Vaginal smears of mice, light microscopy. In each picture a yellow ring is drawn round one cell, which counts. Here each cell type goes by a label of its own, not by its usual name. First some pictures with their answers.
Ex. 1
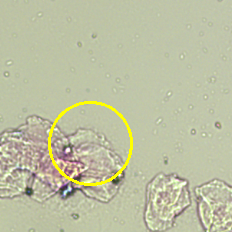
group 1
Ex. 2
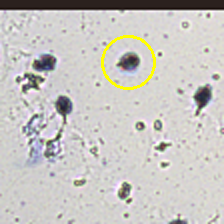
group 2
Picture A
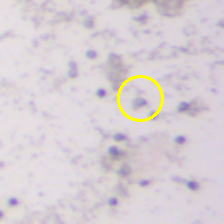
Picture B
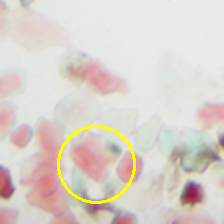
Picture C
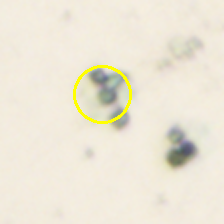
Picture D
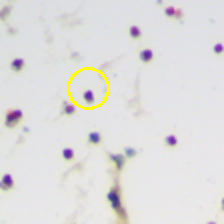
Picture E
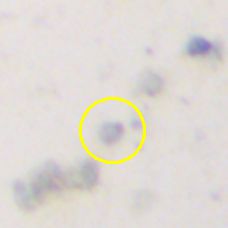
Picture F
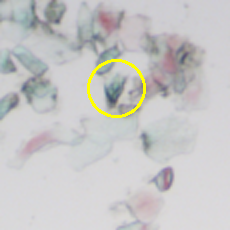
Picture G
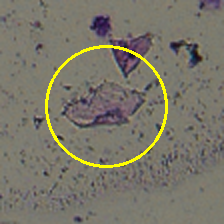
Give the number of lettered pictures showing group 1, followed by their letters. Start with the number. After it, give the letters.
3: B, F, G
